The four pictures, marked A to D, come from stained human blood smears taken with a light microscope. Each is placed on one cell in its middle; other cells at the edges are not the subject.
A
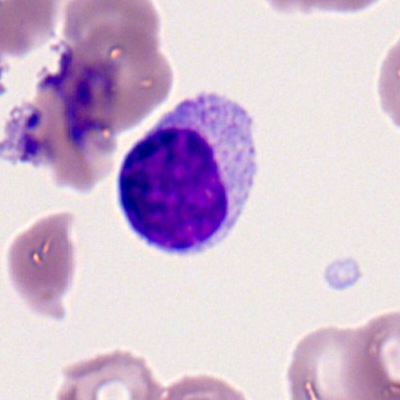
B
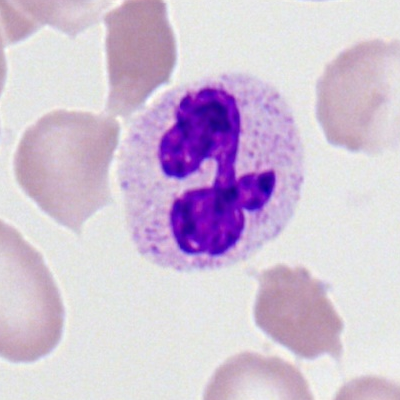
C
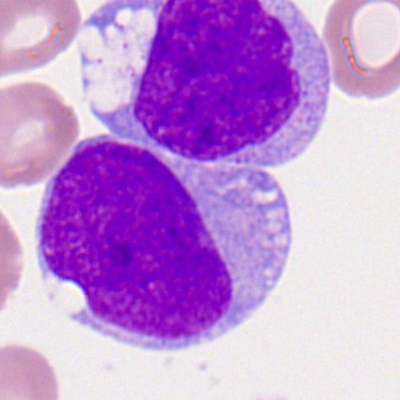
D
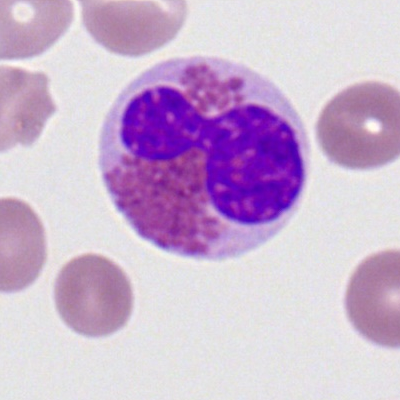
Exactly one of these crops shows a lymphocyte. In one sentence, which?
Crop A is the crop featuring a lymphocyte at its center.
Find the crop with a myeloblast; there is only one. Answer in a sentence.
In the set of crops, crop C is the one that contains a myeloblast.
